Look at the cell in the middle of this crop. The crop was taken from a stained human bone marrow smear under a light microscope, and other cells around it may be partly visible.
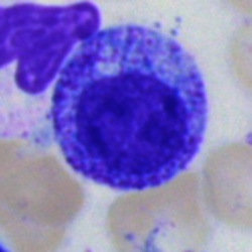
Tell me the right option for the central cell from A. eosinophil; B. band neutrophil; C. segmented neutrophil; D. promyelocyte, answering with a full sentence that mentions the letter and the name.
What sits in the middle of the crop is a promyelocyte, and option D is correct.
